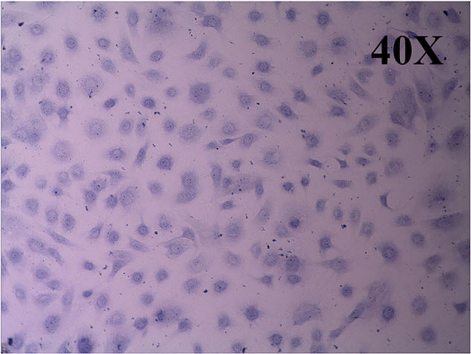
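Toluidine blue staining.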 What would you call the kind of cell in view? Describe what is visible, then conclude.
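Polygonal to rounded cells stained blue-violet. Each cell has a round central nucleus.
Answer: chondrocytes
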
